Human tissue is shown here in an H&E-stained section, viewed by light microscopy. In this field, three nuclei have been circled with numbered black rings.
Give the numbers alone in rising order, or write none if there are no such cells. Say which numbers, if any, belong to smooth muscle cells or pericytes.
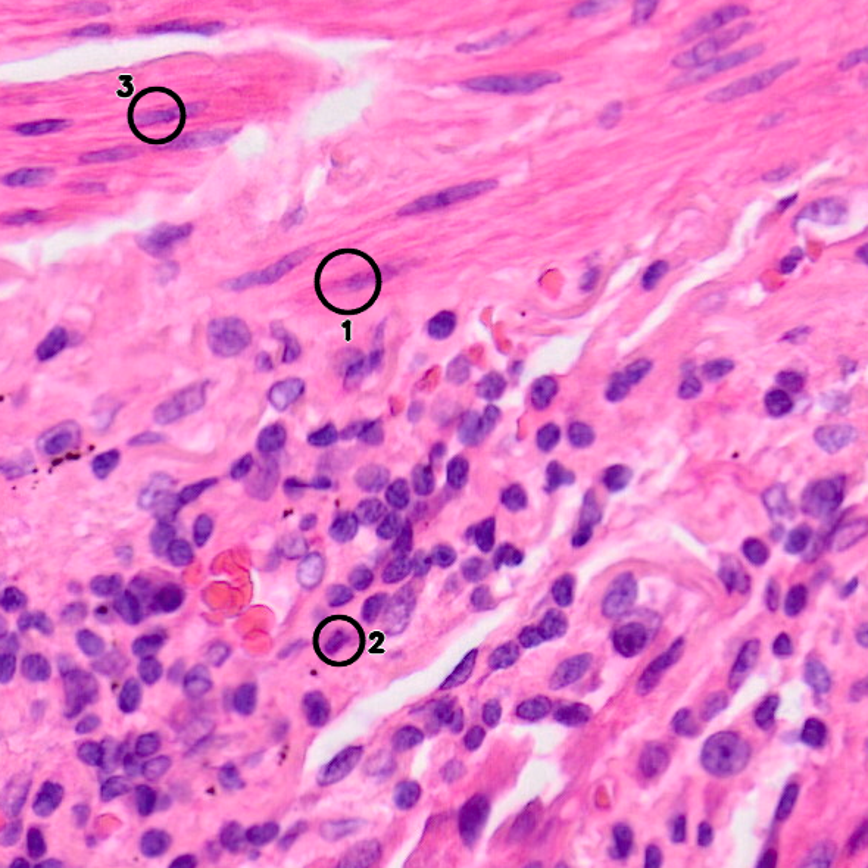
1, 3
